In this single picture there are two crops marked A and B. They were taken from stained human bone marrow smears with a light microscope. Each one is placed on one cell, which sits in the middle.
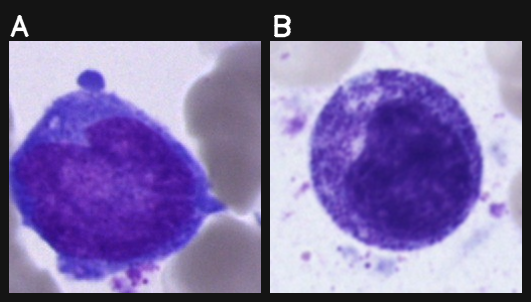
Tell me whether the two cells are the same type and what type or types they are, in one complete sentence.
No, the cell shown in crop A is a blast, and the cell shown in crop B is a promyelocyte.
